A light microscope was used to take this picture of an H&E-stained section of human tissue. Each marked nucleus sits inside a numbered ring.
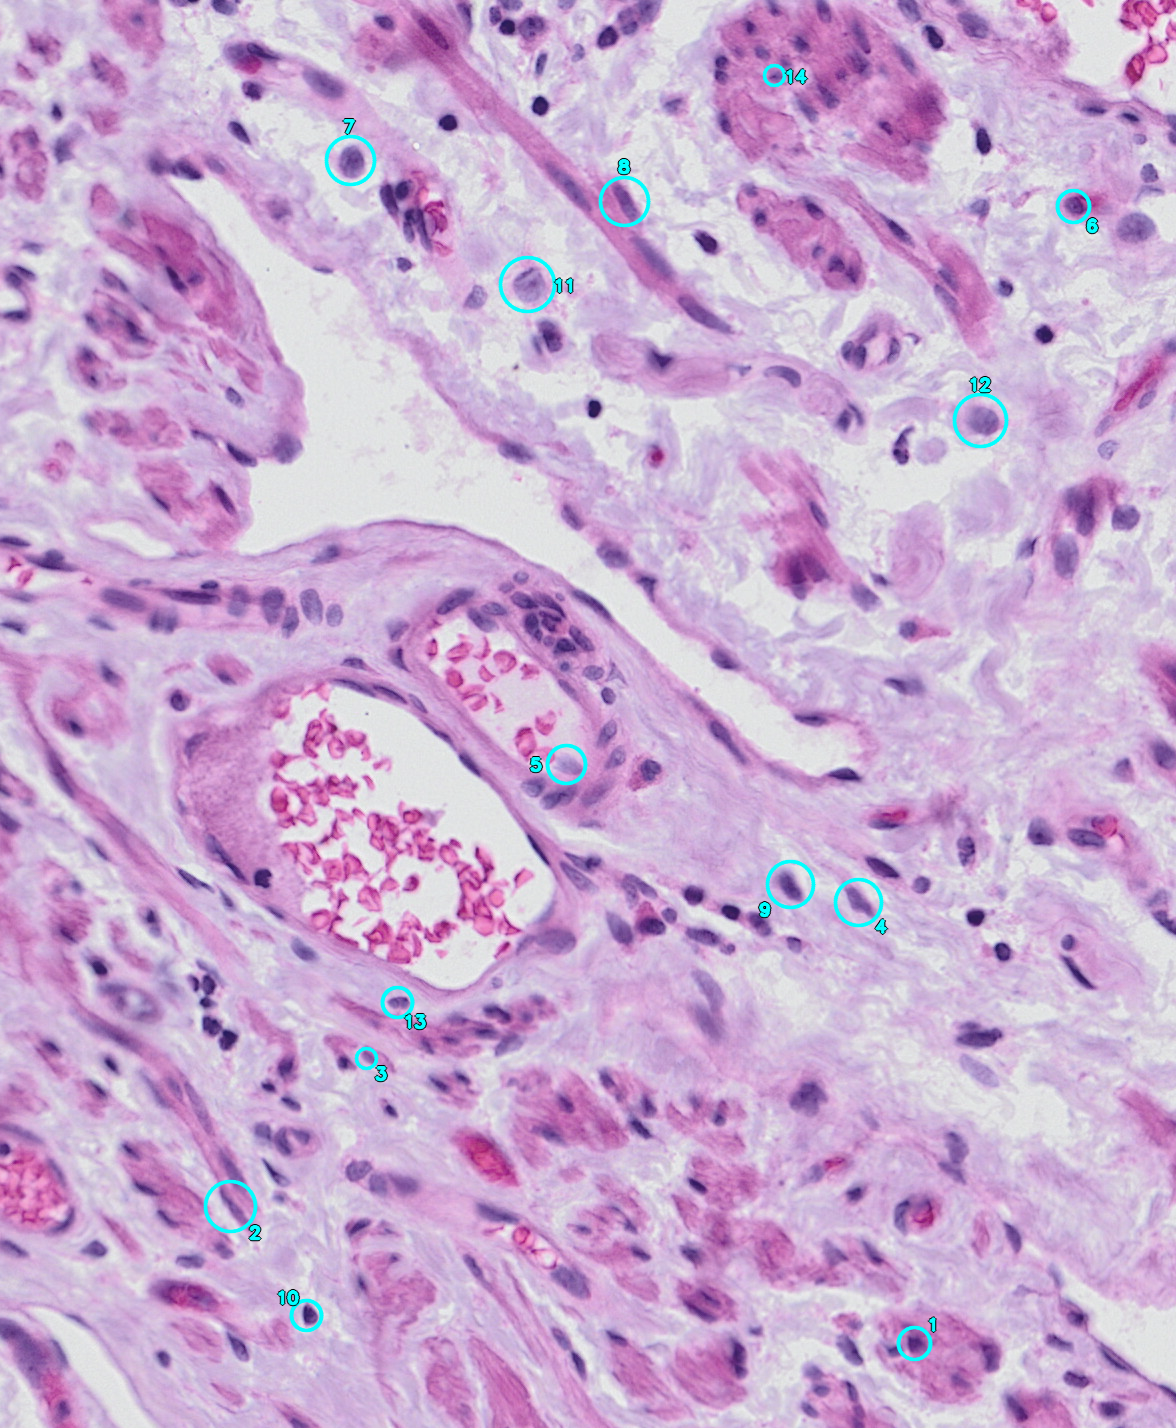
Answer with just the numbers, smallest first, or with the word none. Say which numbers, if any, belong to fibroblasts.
4, 7, 9, 11, 12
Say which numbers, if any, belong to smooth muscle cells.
1, 2, 3, 8, 14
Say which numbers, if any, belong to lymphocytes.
10, 13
